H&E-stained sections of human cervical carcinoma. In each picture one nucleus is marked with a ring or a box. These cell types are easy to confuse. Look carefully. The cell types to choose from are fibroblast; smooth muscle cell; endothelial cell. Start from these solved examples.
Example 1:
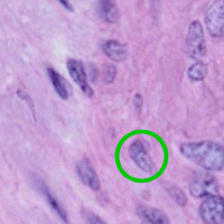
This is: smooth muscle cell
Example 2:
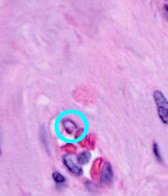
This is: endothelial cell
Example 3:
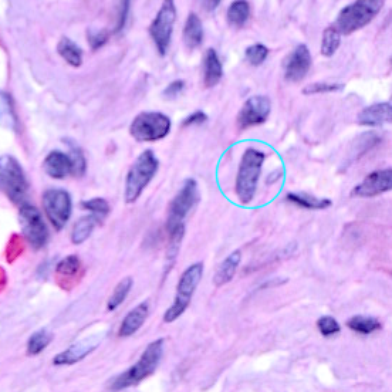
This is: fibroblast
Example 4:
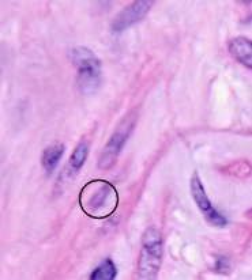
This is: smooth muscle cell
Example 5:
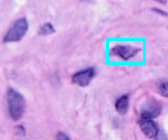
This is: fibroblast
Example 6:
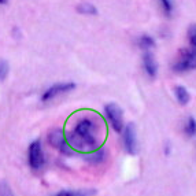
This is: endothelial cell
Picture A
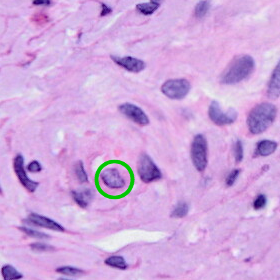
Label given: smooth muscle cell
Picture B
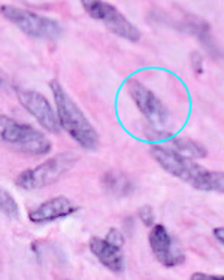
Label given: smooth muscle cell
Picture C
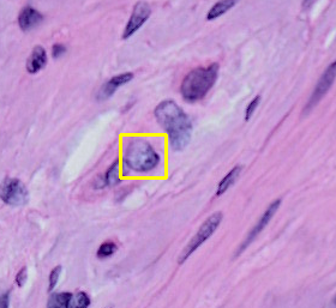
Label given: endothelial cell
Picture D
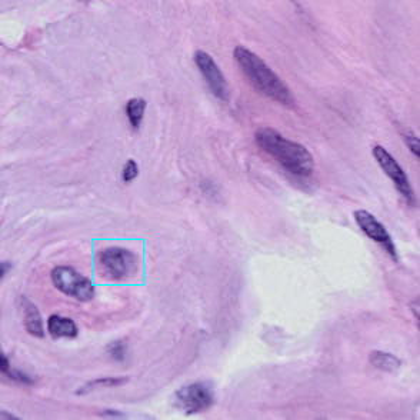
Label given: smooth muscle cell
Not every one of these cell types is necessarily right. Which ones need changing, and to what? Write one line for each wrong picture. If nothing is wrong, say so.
A: change smooth muscle cell to endothelial cell
D: change smooth muscle cell to endothelial cell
